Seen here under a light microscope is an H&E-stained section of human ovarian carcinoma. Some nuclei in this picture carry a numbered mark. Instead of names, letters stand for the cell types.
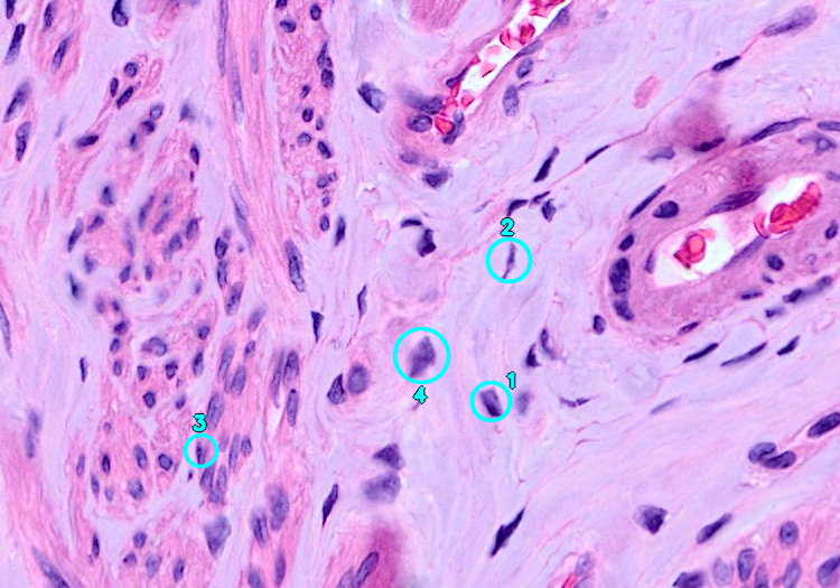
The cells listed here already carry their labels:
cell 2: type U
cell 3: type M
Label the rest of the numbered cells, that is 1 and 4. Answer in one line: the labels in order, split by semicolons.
type U; type U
